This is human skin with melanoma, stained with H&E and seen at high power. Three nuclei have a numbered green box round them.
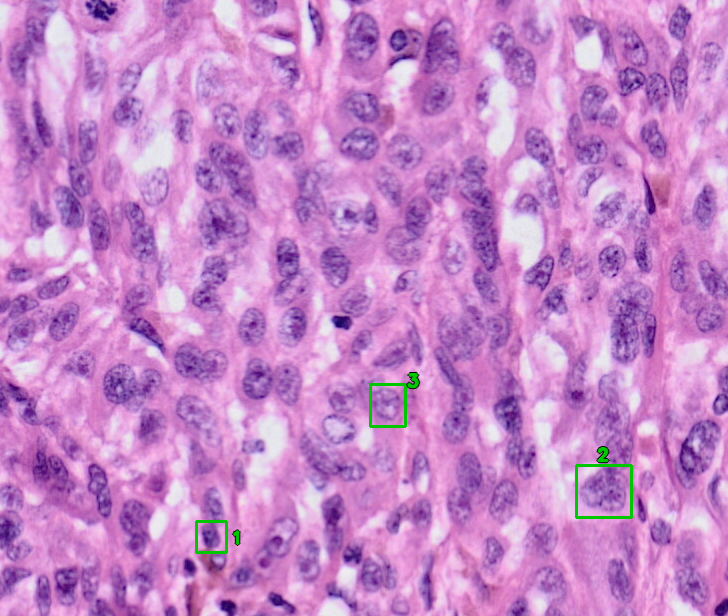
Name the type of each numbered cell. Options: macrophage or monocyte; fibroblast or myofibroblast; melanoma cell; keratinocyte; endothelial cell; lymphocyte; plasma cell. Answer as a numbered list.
1. lymphocyte
2. melanoma cell
3. melanoma cell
